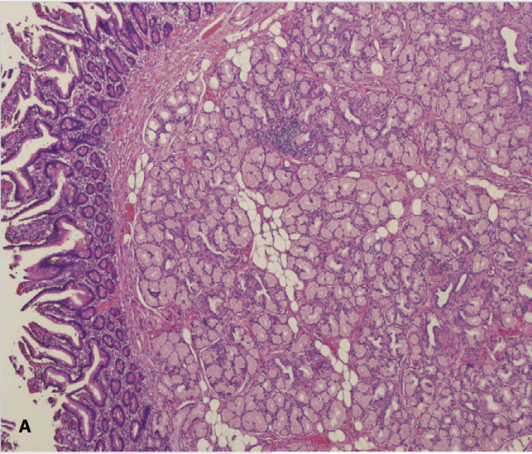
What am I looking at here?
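This low-power view shows intestinal mucosa with an underlying mass of Brunner glands in the submucosa. Along the left edge the mucosa has finger-like villi and crypts, with darker purple staining. Beneath it lies a broad expanse of pale pink, closely packed glandular acini, grouped into lobules. Thin pink fibrous bands run between the lobules, and small clear fat spaces and ducts are scattered among them. A small cluster of dark cells lies within the glandular mass.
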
